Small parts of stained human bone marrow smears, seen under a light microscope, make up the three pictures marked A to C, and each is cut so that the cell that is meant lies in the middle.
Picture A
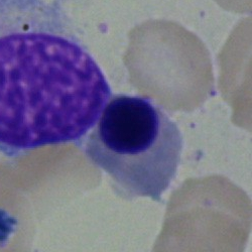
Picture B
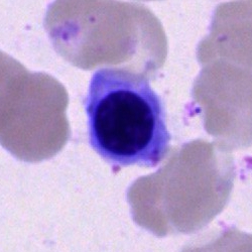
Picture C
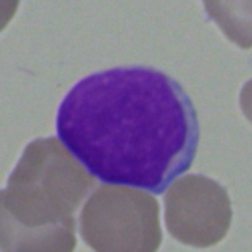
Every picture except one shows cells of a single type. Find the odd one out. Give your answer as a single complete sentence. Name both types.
The others show erythroblasts, but picture C shows a blast.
